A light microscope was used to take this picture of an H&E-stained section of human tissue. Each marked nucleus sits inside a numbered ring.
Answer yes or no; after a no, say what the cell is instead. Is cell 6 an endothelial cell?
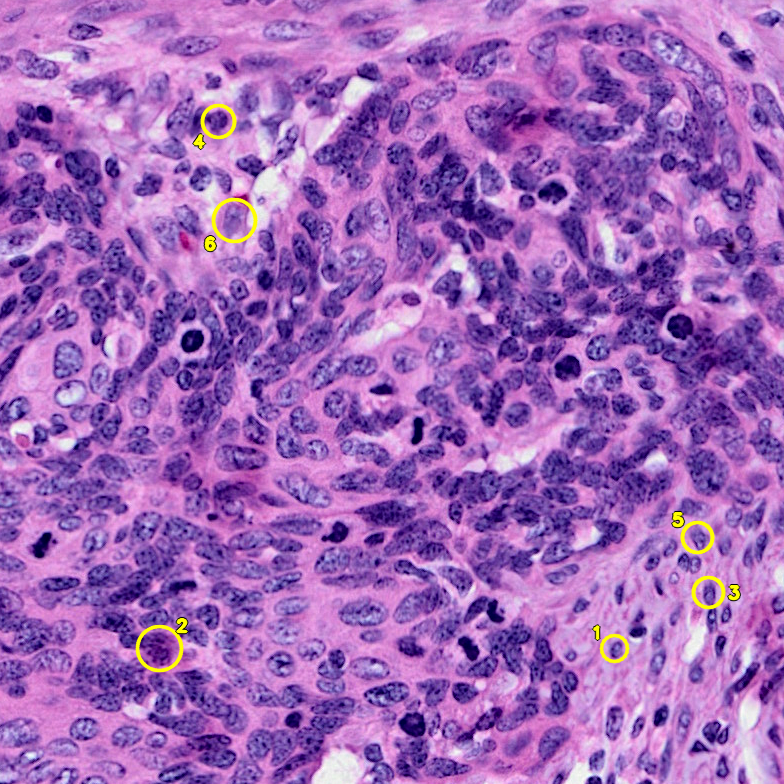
Yes.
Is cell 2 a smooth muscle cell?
No, it is a squamous carcinoma cell.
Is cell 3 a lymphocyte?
No, it is a smooth muscle cell.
